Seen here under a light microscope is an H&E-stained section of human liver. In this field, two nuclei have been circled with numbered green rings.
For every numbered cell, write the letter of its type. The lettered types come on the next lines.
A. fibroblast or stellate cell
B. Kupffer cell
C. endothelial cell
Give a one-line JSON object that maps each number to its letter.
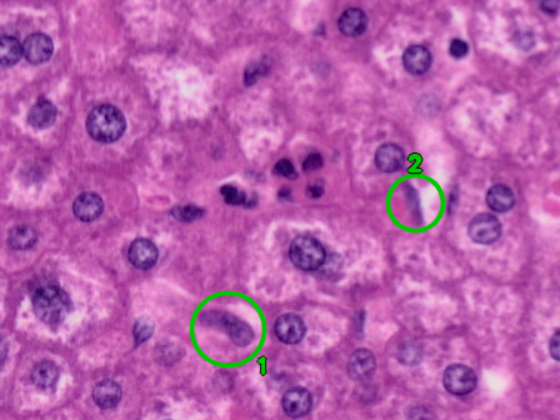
{"1": "B", "2": "C"}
